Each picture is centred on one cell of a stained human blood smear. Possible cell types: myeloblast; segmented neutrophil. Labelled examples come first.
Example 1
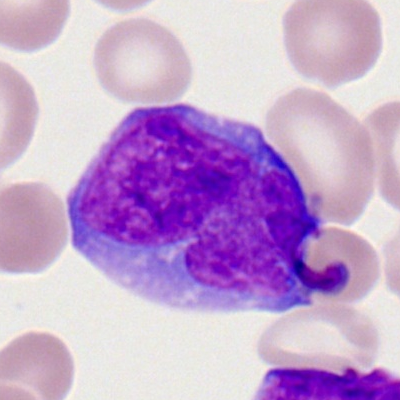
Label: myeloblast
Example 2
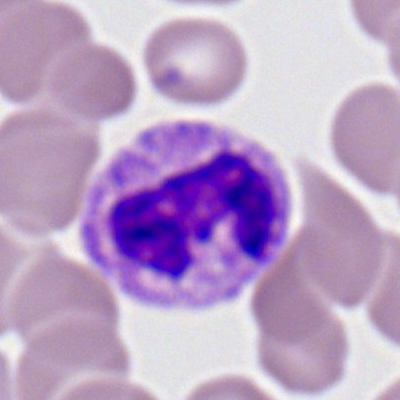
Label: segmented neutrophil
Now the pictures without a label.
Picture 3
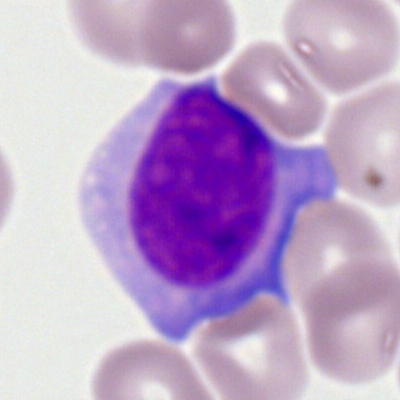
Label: myeloblast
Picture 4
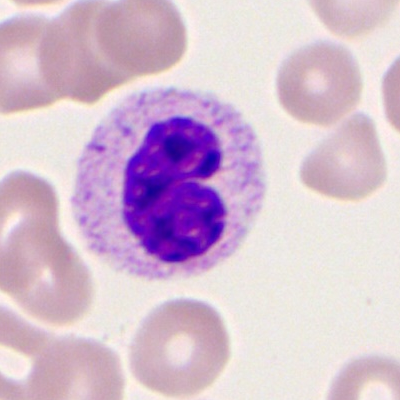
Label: segmented neutrophil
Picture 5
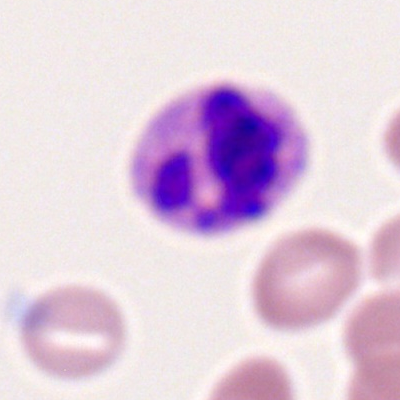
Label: segmented neutrophil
